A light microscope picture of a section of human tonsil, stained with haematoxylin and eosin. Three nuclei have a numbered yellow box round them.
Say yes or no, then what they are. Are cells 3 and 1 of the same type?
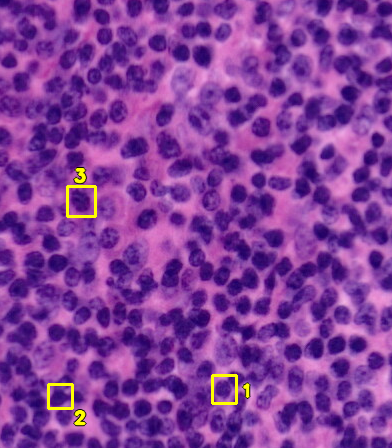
No, as for cell 3, it is a plasma cell, and cell 1 is a small lymphocyte.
